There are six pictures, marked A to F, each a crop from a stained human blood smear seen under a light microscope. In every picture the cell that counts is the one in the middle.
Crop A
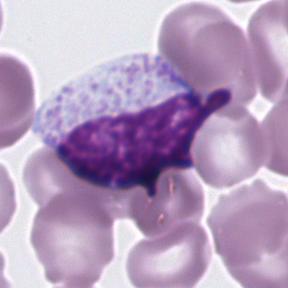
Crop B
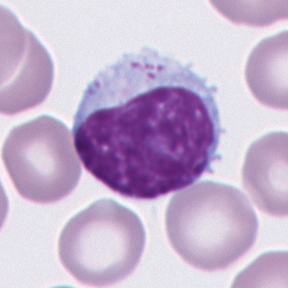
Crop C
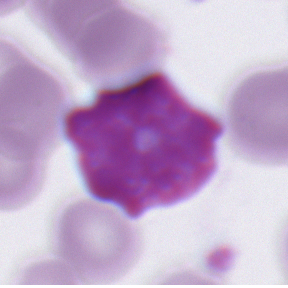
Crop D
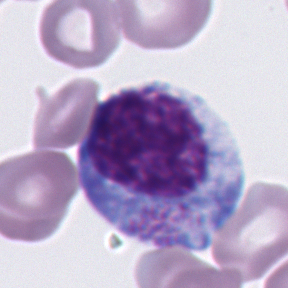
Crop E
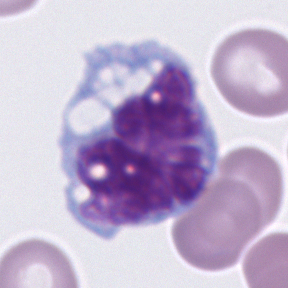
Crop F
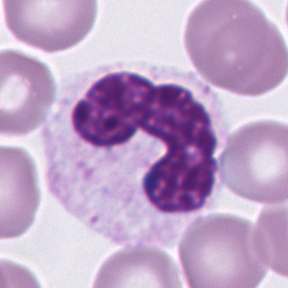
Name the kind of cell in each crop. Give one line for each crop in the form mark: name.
A: myelocyte
B: large granular lymphocyte
C: smudge cell
D: myelocyte
E: monocyte
F: band neutrophil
